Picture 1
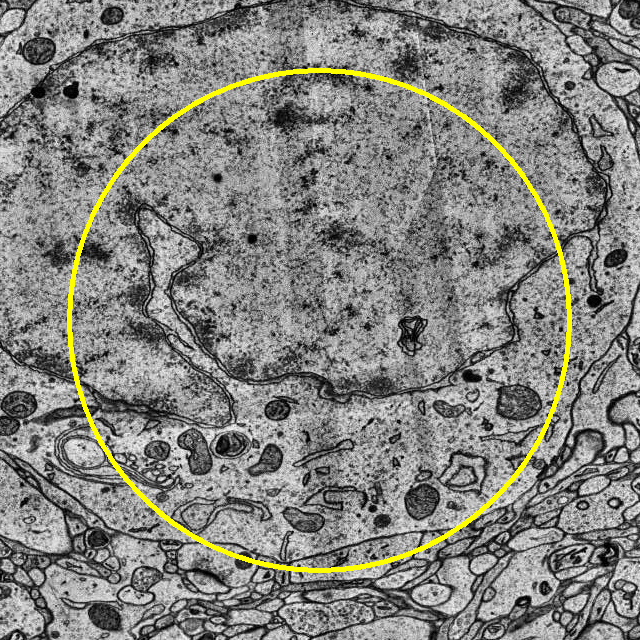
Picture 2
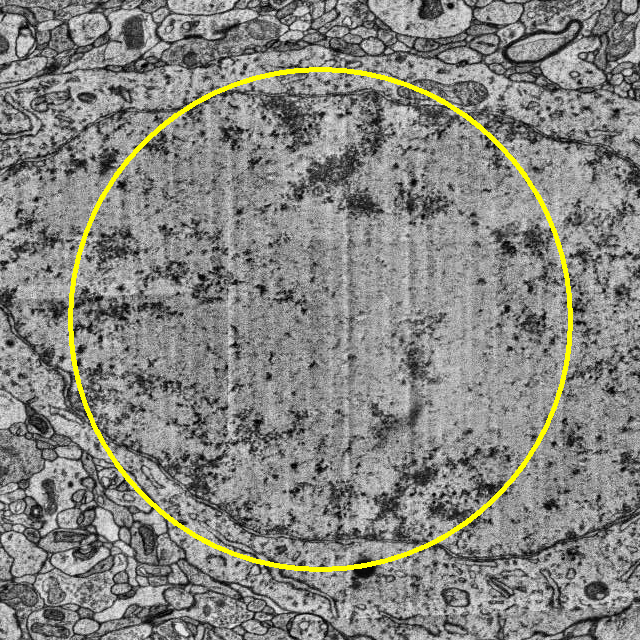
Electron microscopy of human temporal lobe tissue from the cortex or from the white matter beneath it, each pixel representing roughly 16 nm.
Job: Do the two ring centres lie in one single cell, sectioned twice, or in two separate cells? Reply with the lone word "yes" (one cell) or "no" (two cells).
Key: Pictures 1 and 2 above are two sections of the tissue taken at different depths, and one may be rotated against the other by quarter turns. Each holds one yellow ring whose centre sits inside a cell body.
no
